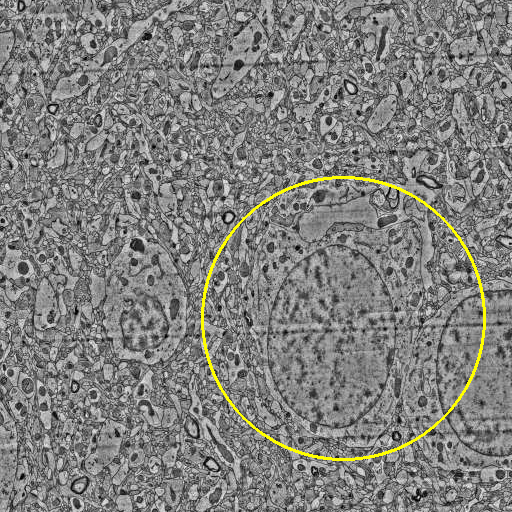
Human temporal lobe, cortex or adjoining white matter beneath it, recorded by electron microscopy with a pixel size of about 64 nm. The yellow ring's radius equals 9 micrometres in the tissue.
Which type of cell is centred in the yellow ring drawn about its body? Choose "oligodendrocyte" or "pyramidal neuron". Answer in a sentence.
The yellow ring surrounds the cell body of a pyramidal neuron.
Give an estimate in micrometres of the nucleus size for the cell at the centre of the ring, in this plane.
Approximately 12 by 8 micrometers in this plane.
